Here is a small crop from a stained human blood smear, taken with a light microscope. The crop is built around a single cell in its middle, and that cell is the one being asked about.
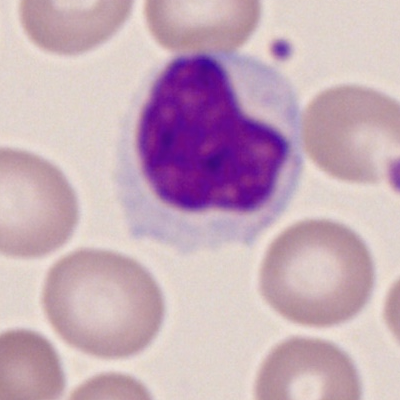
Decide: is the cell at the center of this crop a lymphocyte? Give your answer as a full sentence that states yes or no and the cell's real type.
Yes, this is a lymphocyte, the cell in the middle of the crop.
